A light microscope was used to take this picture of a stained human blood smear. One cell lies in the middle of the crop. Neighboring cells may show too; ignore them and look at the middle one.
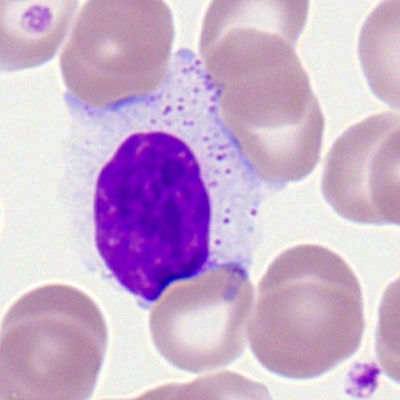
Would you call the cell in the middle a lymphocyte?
yes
